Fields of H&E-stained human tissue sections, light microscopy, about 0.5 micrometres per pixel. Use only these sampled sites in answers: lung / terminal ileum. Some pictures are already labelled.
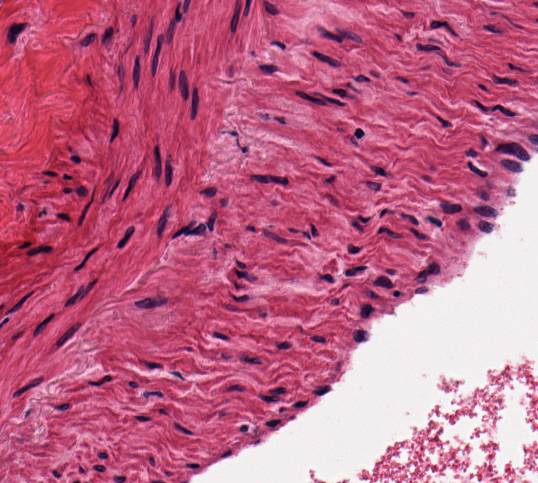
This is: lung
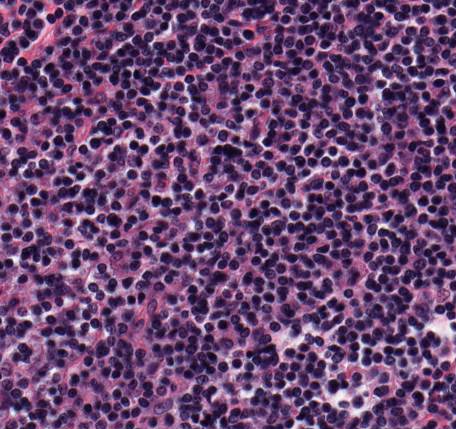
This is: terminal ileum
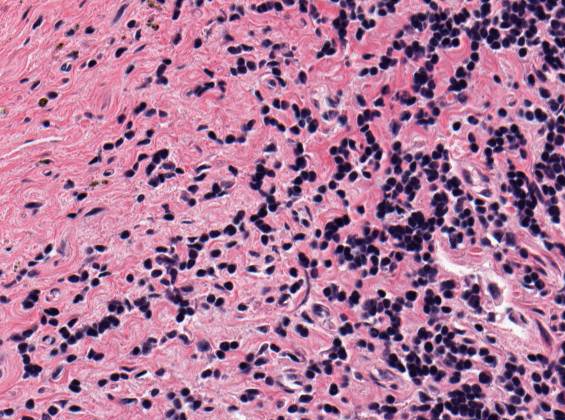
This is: terminal ileum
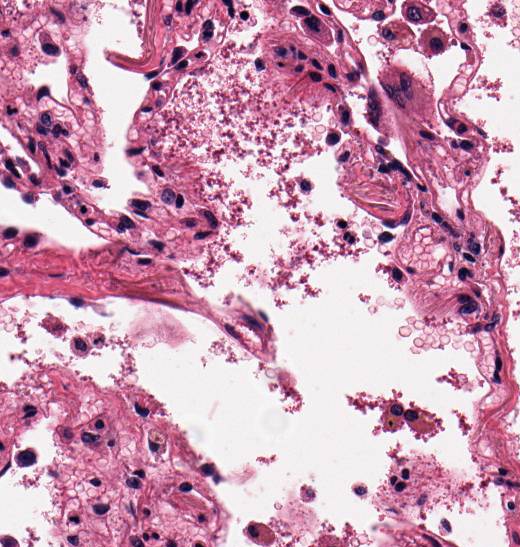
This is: lung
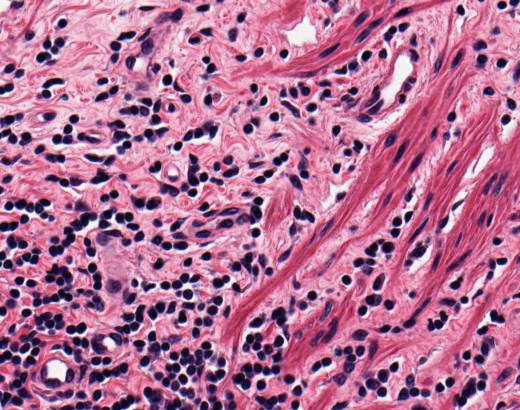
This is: terminal ileum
